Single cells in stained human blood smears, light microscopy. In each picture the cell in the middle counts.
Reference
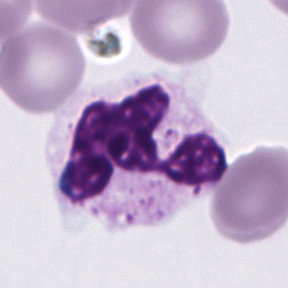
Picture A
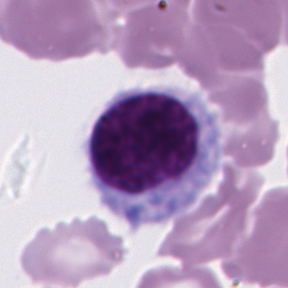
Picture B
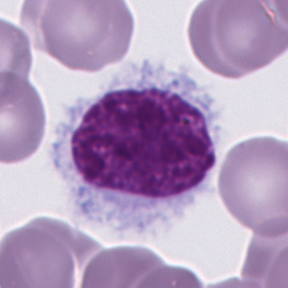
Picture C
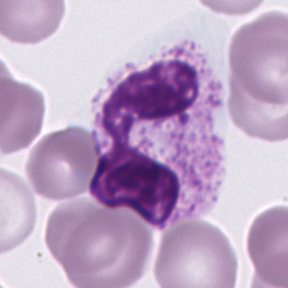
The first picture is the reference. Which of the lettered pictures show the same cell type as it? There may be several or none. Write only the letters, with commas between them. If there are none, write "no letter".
C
